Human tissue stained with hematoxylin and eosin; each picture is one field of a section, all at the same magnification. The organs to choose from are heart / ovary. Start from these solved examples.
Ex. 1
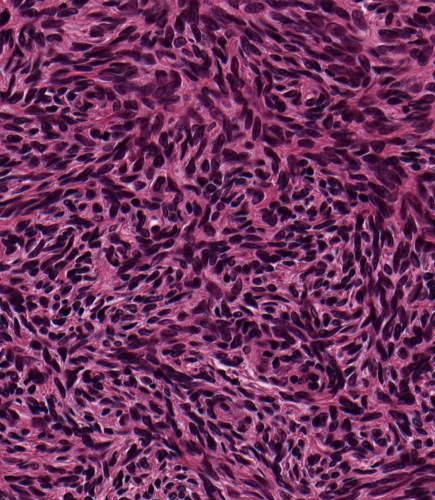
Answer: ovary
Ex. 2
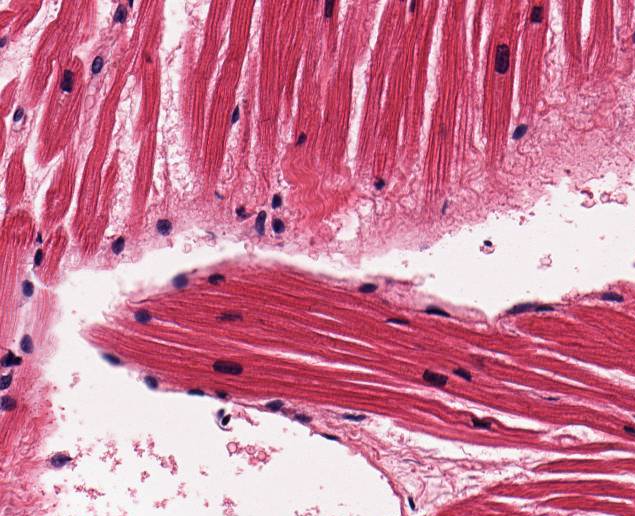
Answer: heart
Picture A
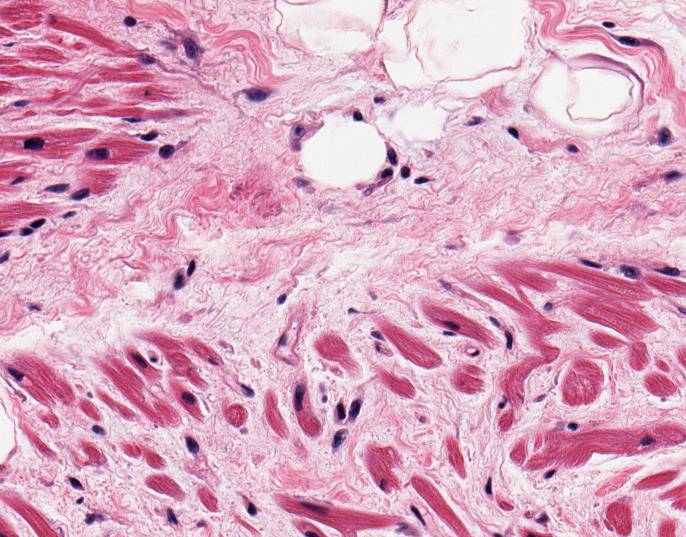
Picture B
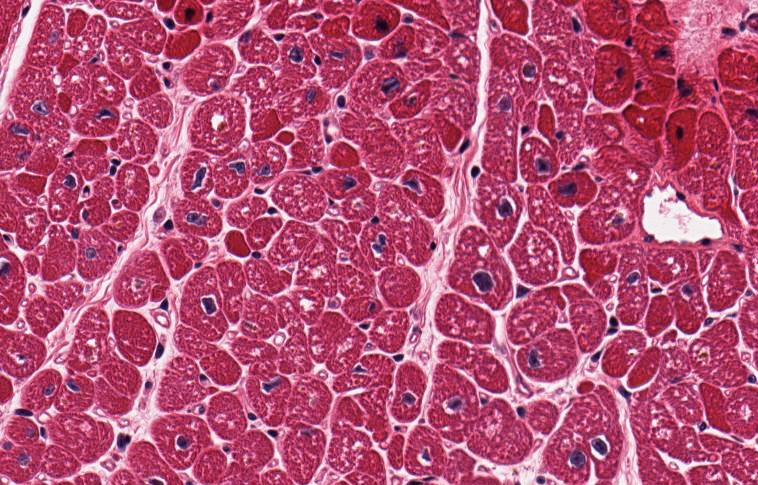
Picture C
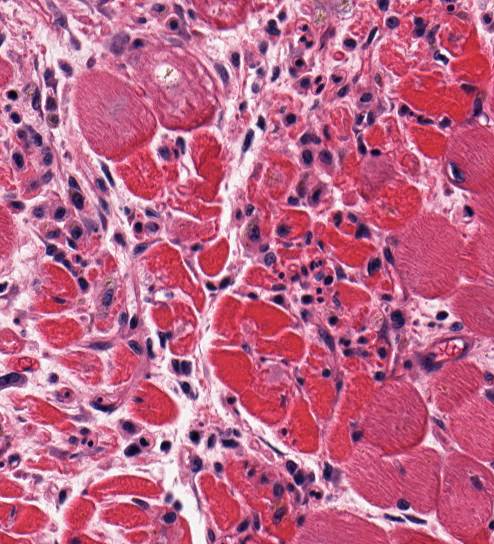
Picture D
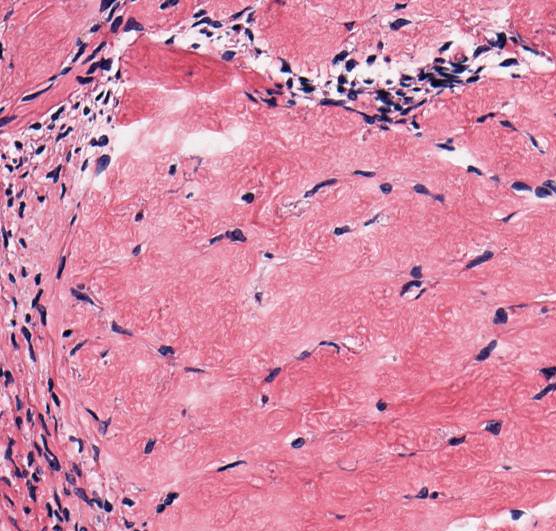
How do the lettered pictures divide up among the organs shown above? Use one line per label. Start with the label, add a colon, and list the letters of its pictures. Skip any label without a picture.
heart: A, B, C
ovary: D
